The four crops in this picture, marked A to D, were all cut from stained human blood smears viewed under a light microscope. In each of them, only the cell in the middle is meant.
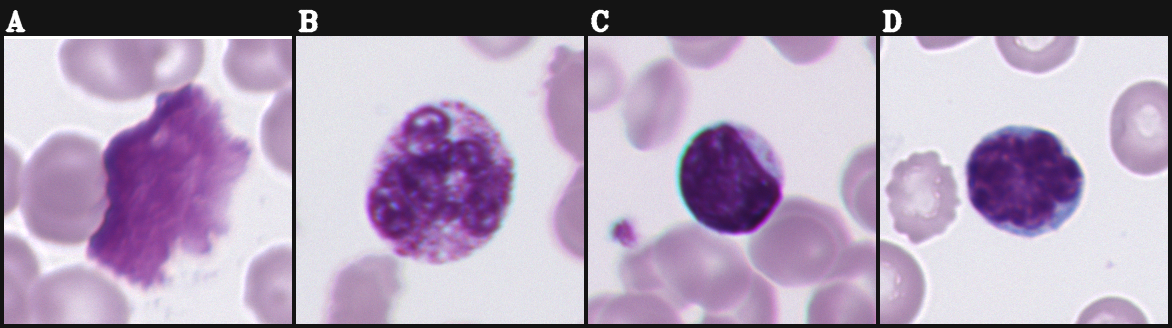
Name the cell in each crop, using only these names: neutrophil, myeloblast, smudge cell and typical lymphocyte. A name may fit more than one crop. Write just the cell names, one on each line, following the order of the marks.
smudge cell
neutrophil
typical lymphocyte
typical lymphocyte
